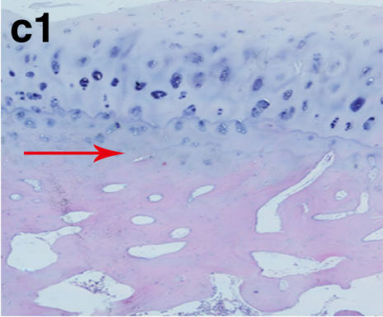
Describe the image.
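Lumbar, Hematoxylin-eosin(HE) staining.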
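Articular cartilage of a facet joint over subchondral bone, with a pale blue-purple cartilage layer above a broad pink bony layer. Chondrocytes in the cartilage are relatively sparse, with dark nuclei in lacunae scattered irregularly rather than in orderly rows. The junction between cartilage and bone is a faint, uneven line rather than a sharp border. The pink bone below is pierced by narrow, elongated channels and small spaces.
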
